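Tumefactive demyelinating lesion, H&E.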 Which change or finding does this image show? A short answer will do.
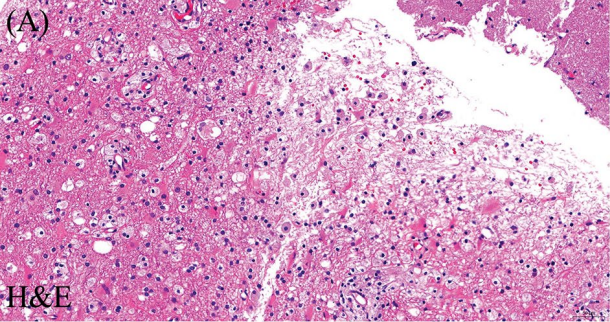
Reactive gliosis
